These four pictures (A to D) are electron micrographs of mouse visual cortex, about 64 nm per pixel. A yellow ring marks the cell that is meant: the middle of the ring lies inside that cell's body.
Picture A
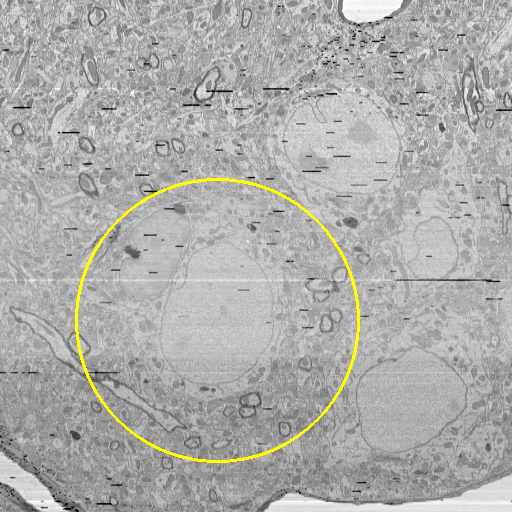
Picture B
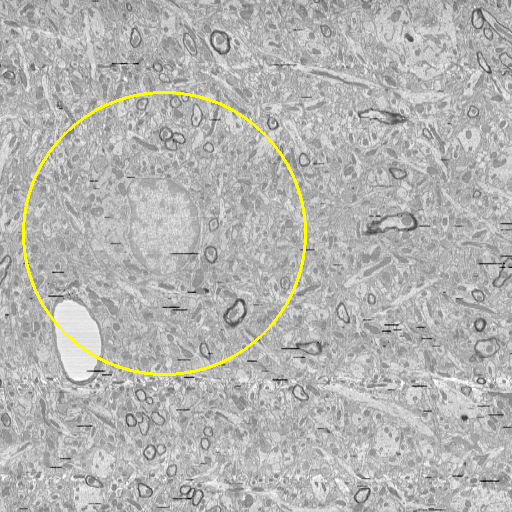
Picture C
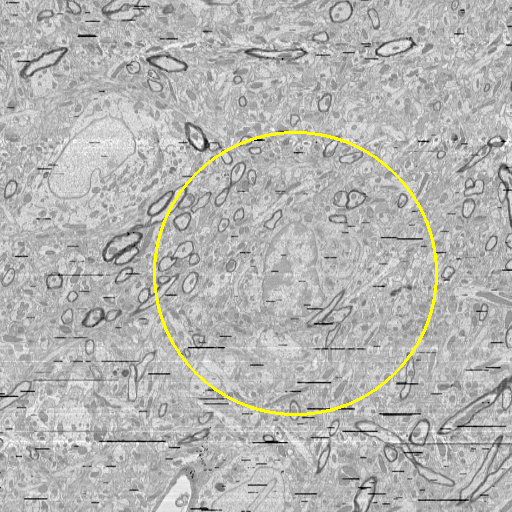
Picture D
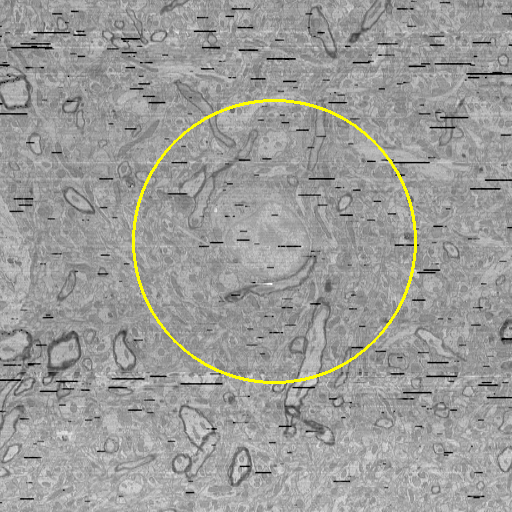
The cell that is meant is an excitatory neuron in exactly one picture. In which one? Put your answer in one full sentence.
The cell in picture A is the excitatory neuron.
